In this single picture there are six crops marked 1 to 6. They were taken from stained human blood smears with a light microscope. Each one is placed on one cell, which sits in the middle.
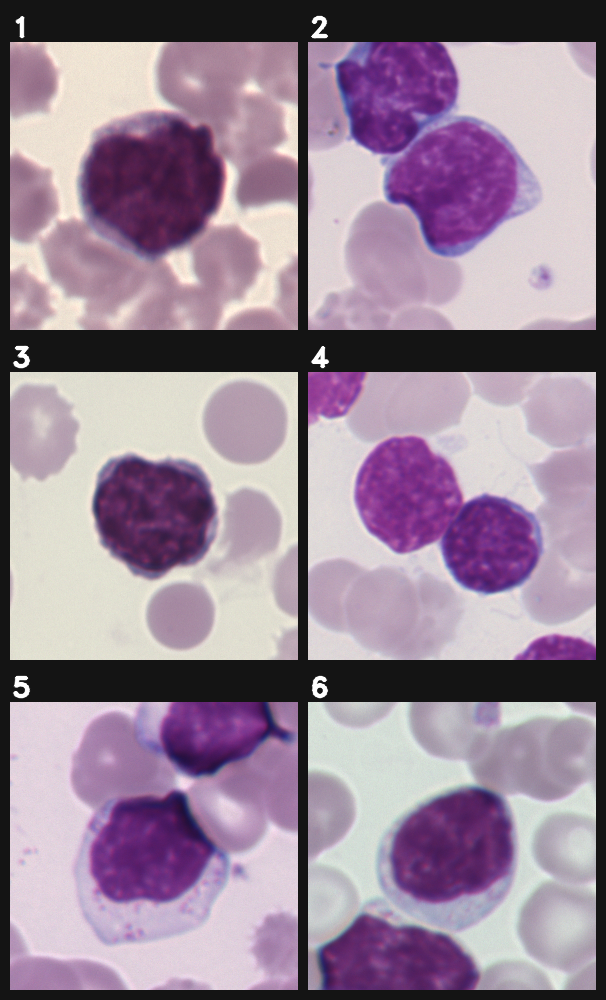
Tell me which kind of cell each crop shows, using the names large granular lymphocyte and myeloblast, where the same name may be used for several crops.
1: myeloblast
2: large granular lymphocyte
3: myeloblast
4: myeloblast
5: large granular lymphocyte
6: large granular lymphocyte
